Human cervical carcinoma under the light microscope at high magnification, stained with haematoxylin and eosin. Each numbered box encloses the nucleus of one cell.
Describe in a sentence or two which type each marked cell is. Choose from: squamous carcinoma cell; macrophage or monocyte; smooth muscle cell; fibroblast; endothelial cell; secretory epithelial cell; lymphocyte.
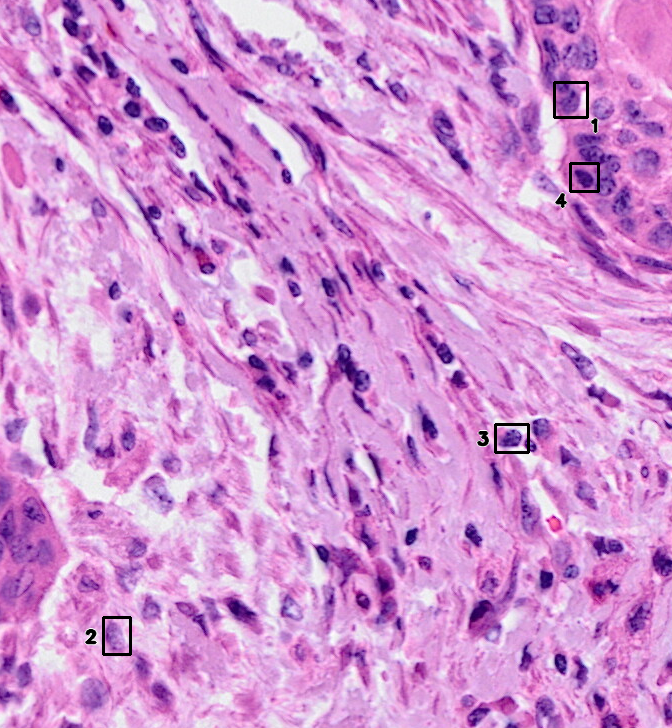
Cell 1 is a squamous carcinoma cell, cell 2 is a fibroblast, cell 3 is a lymphocyte and cell 4 is a squamous carcinoma cell.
